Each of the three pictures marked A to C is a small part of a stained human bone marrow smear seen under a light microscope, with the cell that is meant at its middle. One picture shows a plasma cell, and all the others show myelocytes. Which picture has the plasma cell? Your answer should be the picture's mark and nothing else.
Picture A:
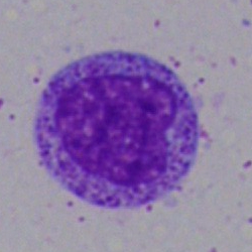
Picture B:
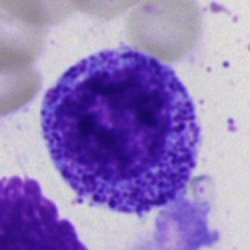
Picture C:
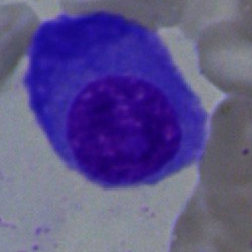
C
